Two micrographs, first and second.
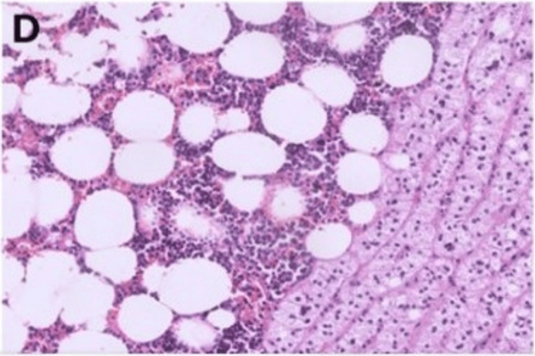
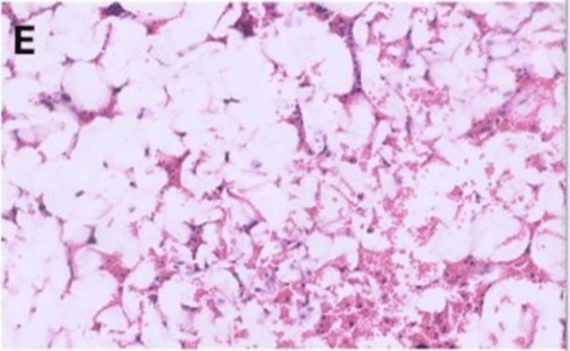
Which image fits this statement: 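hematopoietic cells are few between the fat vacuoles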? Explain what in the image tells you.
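Second image: fat vacuoles separated mostly by red blood cells with only scattered nucleated cells. First image: fat vacuoles separated by dense crowds of small dark-nucleated cells.
Answer: the second image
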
